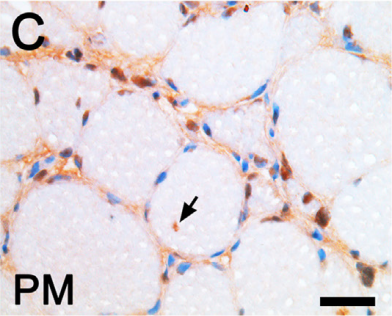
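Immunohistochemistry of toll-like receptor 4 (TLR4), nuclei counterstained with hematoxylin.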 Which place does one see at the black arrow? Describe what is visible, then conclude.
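The arrow tips at a small brown-orange dot within a large pale rounded profile. Large pale polygonal profiles fill the field, separated by thin interstitial strands.
Hence: muscle fibers.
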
